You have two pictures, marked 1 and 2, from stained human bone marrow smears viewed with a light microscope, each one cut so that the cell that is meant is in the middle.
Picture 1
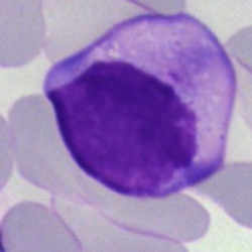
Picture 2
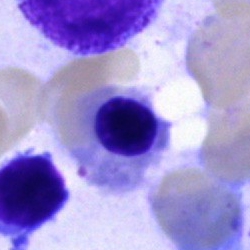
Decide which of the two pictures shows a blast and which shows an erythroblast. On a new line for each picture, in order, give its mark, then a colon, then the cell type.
1: blast
2: erythroblast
